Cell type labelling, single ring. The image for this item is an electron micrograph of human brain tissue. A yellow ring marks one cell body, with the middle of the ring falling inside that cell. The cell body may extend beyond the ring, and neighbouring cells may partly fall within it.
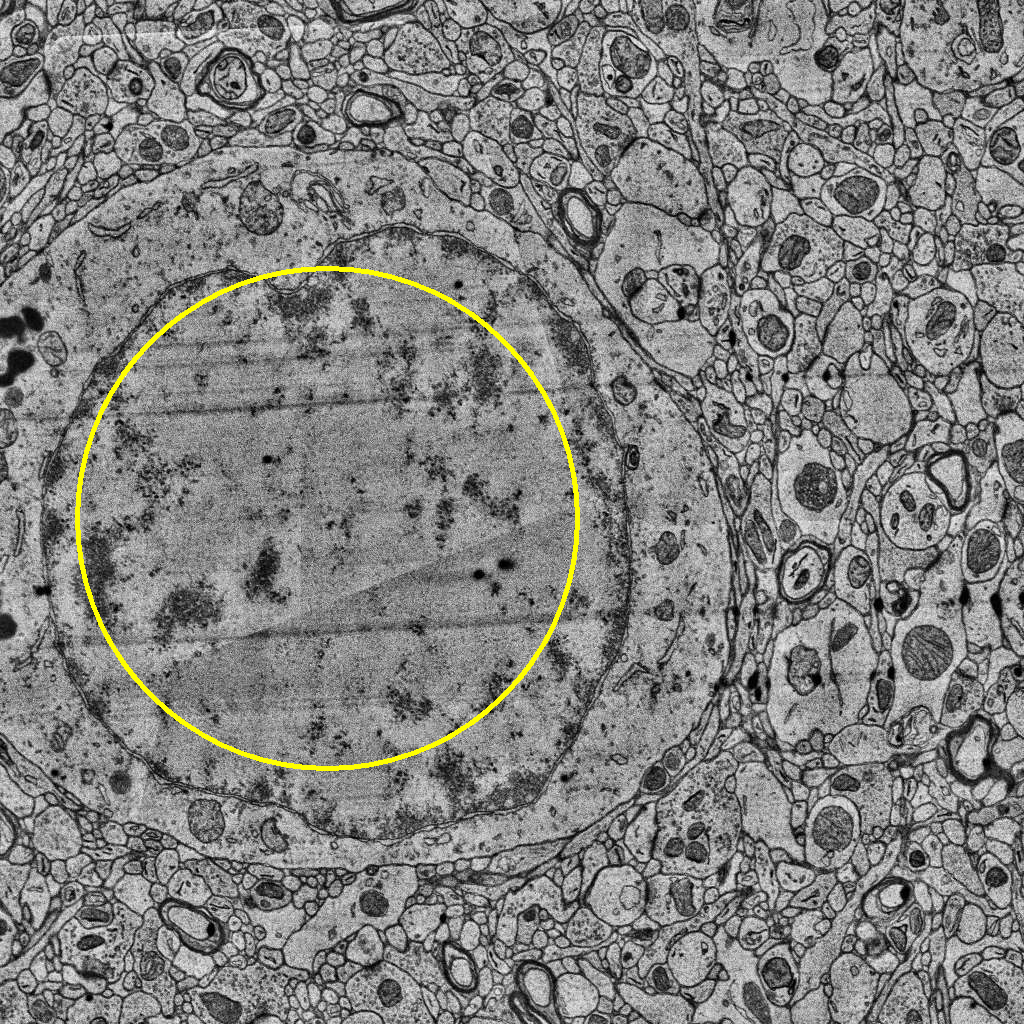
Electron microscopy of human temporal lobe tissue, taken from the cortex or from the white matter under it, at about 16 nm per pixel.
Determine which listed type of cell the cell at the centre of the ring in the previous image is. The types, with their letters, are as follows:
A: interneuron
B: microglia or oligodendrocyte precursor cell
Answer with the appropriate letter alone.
A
